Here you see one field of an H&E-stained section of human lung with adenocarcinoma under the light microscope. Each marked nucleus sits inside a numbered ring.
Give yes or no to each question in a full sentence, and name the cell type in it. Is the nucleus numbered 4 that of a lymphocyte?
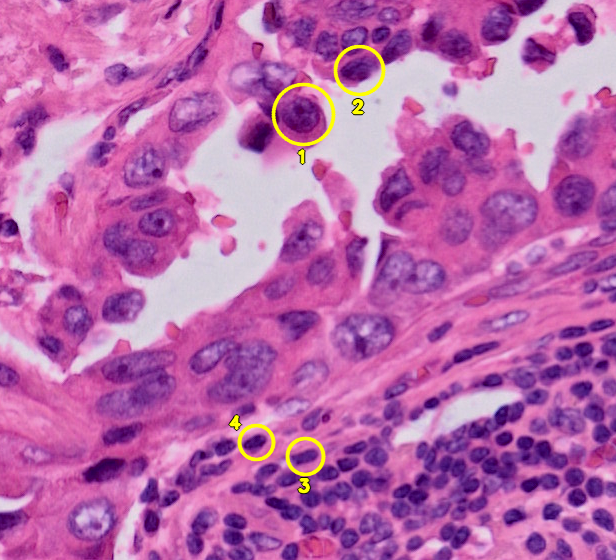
Yes, the cell corresponding to number 4 is a lymphocyte.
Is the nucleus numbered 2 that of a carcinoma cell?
Yes, the cell indicated by number 2 is a carcinoma cell.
